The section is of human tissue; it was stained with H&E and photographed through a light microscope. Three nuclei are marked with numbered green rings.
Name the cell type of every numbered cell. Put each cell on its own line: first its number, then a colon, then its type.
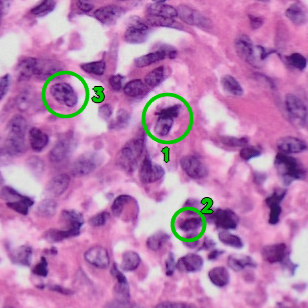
1: macrophage or monocyte
2: carcinoma cell
3: macrophage or monocyte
